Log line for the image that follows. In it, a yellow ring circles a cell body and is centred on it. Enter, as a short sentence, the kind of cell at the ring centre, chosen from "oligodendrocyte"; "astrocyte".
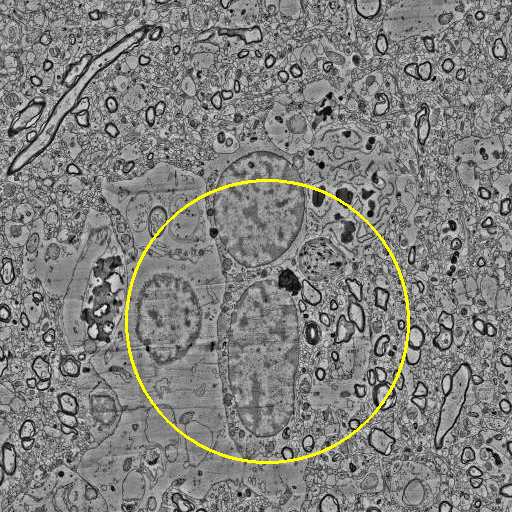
The ring centre is occupied by an oligodendrocyte.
